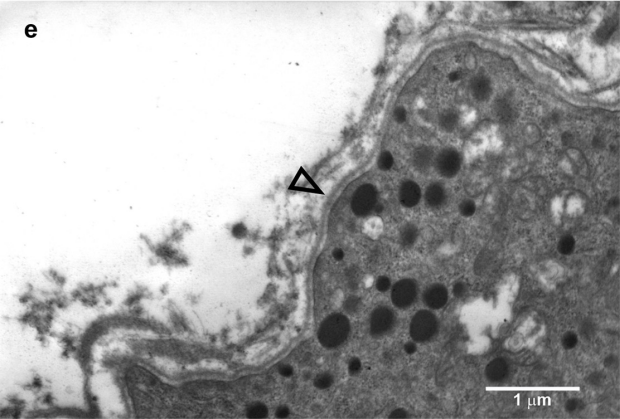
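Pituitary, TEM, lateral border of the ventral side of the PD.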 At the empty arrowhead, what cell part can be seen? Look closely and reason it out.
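Lamina basal. A thin continuous dense line follows the cell's outer contour. A paler gap separates the line from the cell membrane.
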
